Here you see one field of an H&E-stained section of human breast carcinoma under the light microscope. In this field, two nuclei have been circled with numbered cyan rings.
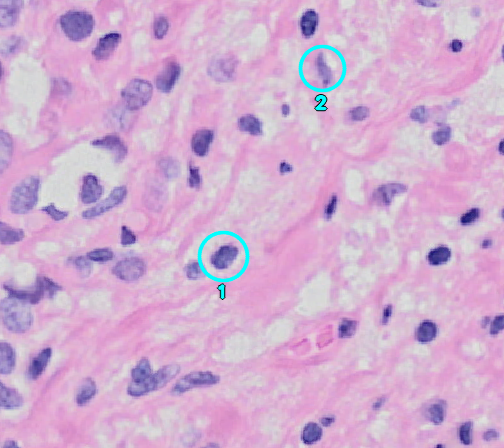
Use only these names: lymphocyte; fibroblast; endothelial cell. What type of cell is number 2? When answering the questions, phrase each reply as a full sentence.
The cell identified by the number 2 is a fibroblast.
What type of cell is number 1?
The cell numbered 1 has been identified as a lymphocyte.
